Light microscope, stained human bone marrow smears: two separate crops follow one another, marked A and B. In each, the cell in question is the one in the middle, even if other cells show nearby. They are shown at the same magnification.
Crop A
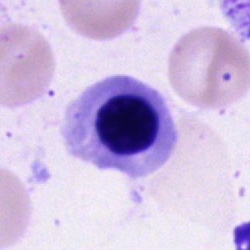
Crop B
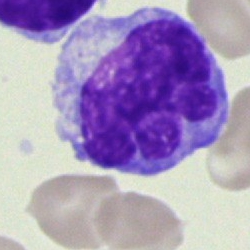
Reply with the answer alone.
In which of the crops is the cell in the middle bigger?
B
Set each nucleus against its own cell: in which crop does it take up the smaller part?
A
